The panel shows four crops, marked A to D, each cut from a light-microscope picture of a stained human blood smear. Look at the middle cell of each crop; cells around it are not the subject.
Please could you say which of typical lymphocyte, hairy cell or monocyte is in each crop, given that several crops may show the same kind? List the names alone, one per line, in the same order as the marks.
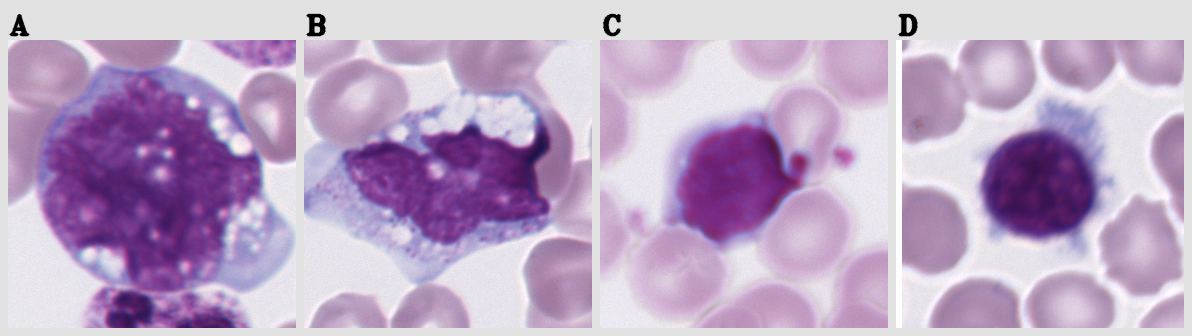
monocyte
monocyte
typical lymphocyte
hairy cell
